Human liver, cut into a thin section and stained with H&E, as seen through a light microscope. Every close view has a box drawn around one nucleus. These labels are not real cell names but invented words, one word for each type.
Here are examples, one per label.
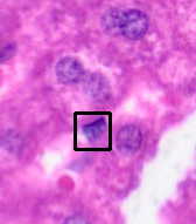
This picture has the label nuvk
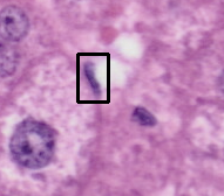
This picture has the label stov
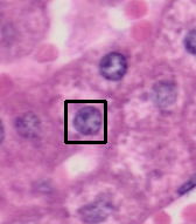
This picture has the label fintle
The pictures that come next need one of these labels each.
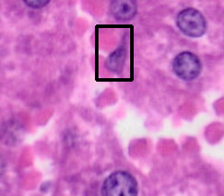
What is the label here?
stov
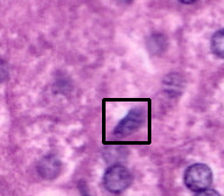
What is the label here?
stov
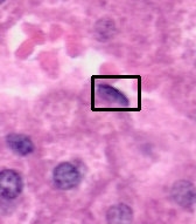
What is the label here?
stov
